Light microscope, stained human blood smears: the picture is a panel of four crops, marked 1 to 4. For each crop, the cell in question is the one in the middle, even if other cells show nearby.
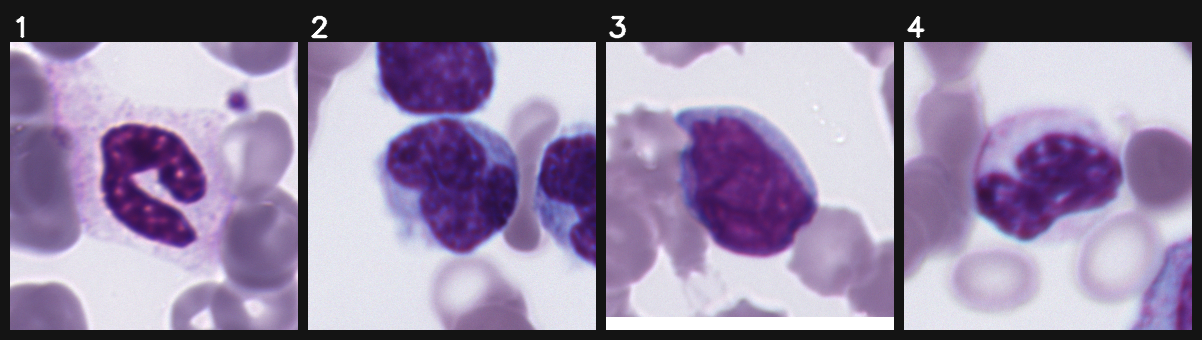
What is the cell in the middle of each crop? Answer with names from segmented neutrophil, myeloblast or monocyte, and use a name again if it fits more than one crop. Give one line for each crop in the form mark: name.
1: segmented neutrophil
2: monocyte
3: myeloblast
4: segmented neutrophil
